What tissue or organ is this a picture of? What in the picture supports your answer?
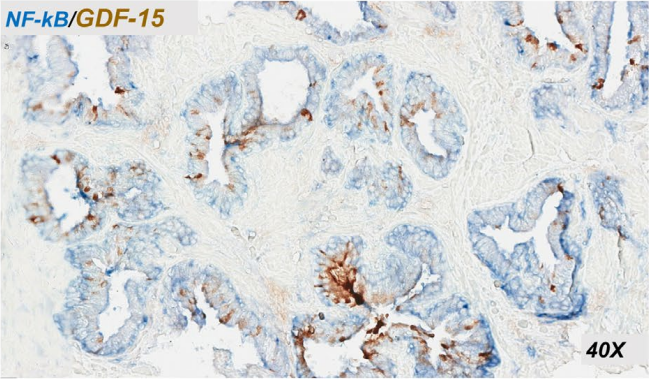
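Glands have open lumens with infolded, papillary borders. The glands are lined by columnar epithelium. Pale fibrous stroma lies between the glands. The epithelium shows an orderly lining without crowded, disorganised growth.
Answer: benign prostate glandular epithelium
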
